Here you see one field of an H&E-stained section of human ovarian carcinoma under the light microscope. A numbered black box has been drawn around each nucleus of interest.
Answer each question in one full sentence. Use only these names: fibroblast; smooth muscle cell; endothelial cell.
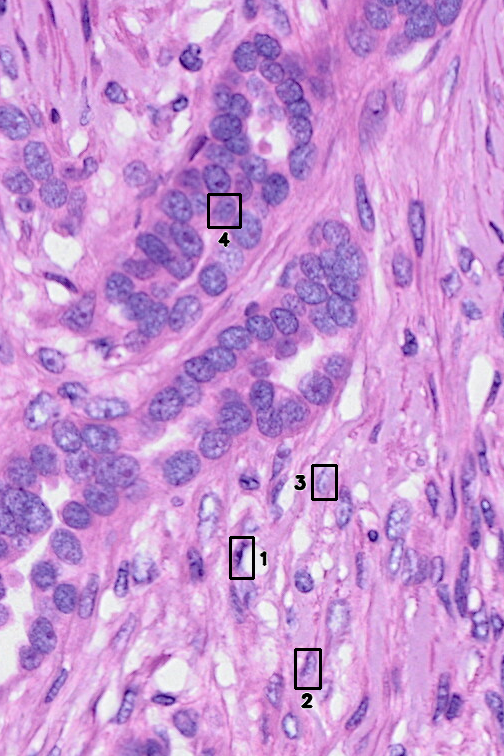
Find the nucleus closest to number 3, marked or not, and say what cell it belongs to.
The nucleus nearest to number 3 is that of a fibroblast.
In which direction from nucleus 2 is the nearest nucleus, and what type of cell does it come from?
The nearest one is a fibroblast, found below and to the right of nucleus 2.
